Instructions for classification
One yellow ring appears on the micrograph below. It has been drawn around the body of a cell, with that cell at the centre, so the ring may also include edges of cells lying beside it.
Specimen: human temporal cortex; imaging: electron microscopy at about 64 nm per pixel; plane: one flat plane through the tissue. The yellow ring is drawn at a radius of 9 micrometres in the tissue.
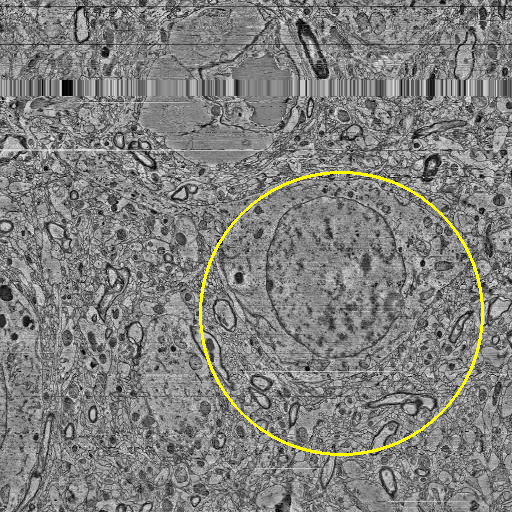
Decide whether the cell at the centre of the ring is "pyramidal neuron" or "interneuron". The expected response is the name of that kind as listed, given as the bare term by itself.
pyramidal neuron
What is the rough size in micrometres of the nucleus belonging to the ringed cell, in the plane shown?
In this plane the nucleus measures roughly 11 by 9 micrometres.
